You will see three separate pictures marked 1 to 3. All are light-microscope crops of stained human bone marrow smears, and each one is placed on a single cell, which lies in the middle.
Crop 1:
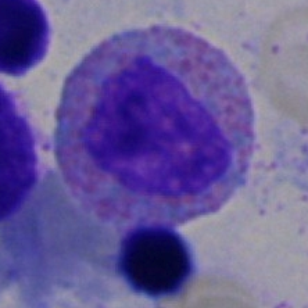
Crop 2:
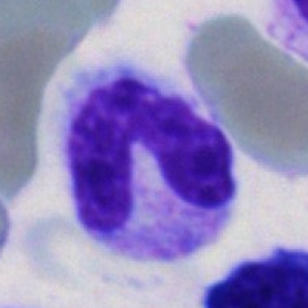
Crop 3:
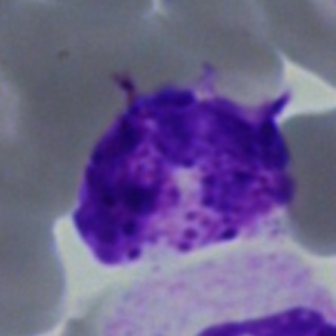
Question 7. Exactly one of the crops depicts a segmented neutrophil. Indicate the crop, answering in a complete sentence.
Of the crops given, a segmented neutrophil is found in crop 2.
